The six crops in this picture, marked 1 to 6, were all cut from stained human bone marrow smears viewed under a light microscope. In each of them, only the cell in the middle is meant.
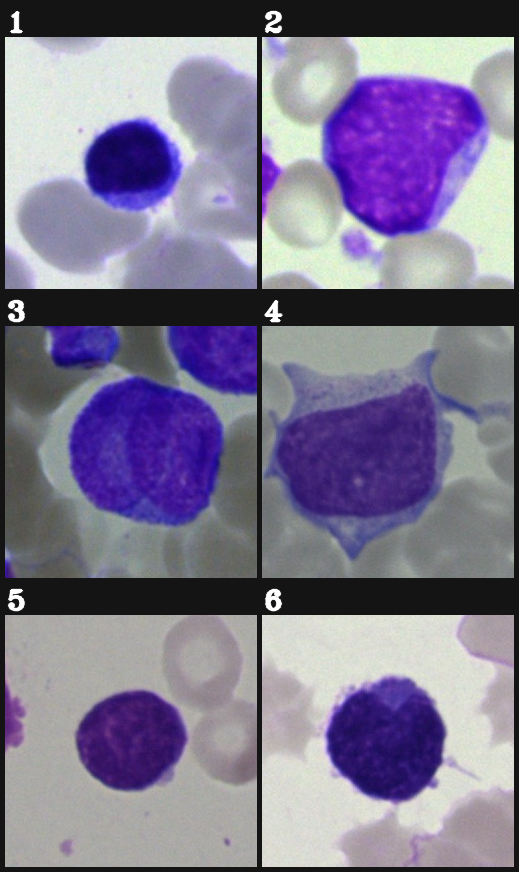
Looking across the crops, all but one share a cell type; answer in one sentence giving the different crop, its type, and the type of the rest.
Identified in crop 1 is a lymphocyte, whereas the other crops all show blasts.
